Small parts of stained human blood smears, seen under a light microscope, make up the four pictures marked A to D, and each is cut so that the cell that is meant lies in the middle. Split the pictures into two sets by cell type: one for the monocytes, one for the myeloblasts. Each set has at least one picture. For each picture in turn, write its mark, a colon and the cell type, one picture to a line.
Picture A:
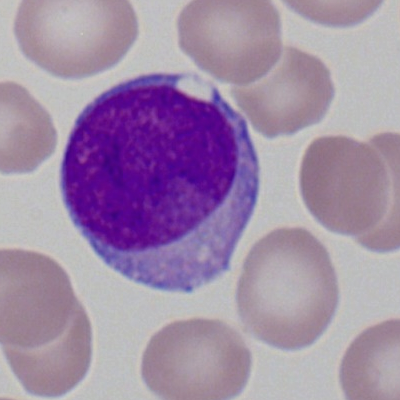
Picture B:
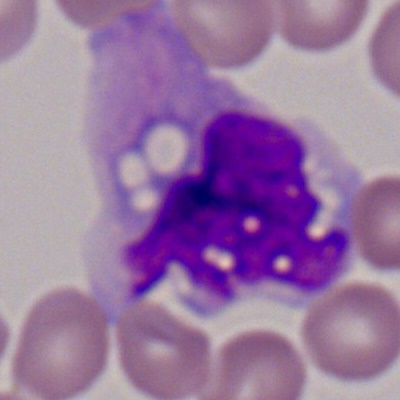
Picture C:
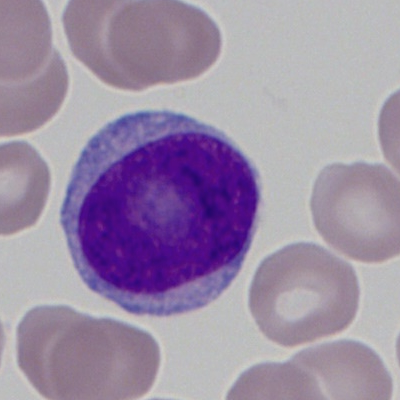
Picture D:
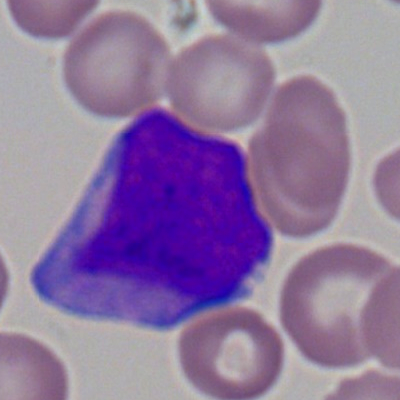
A: myeloblast
B: monocyte
C: myeloblast
D: myeloblast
